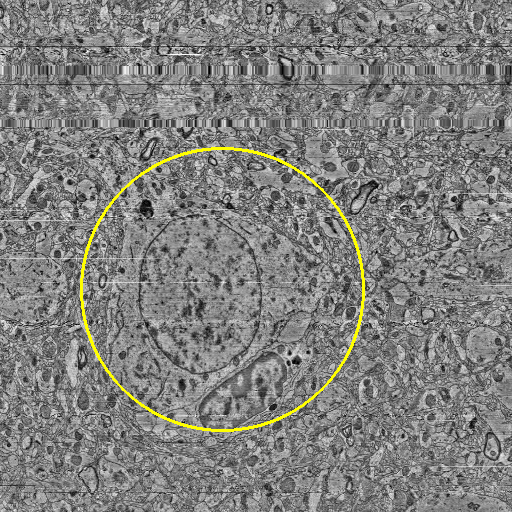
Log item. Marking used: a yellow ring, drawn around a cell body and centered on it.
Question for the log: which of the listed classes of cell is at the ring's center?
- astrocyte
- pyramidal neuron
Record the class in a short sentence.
At the center of the ring lies a pyramidal neuron.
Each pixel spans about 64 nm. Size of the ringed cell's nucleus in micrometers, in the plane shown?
Roughly 11 micrometres by 8 micrometres, in this plane.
